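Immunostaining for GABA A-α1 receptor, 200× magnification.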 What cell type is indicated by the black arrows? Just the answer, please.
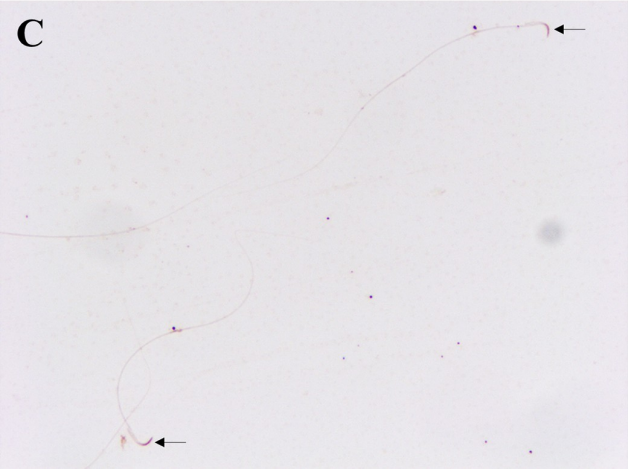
sperm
